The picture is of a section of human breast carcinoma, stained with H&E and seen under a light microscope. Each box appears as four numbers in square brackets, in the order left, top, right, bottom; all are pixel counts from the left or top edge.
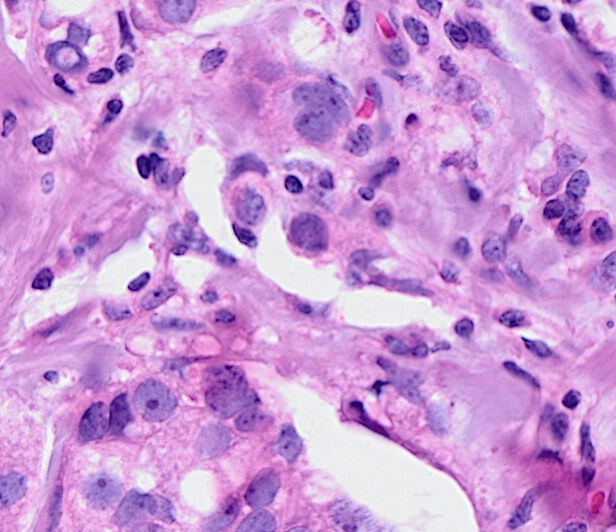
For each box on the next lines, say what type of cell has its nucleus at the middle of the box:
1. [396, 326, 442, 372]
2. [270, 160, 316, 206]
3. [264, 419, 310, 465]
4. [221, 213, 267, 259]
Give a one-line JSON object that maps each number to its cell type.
{"1": "endothelial cell", "2": "lymphocyte", "3": "carcinoma cell", "4": "lymphocyte"}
